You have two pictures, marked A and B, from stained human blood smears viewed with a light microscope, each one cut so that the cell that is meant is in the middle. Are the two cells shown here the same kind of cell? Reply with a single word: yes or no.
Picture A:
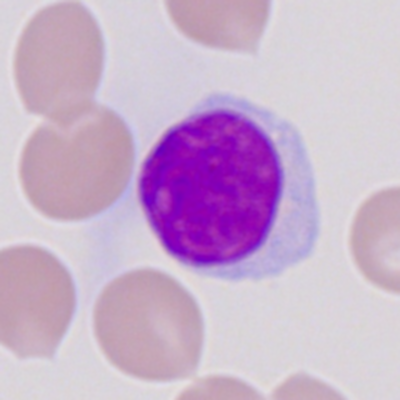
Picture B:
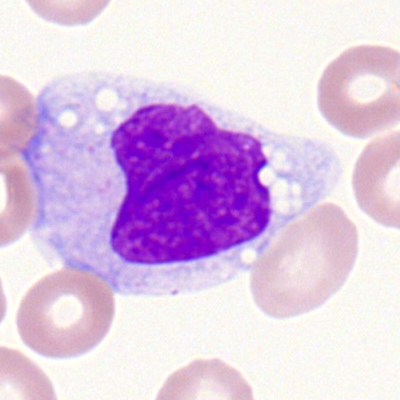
no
